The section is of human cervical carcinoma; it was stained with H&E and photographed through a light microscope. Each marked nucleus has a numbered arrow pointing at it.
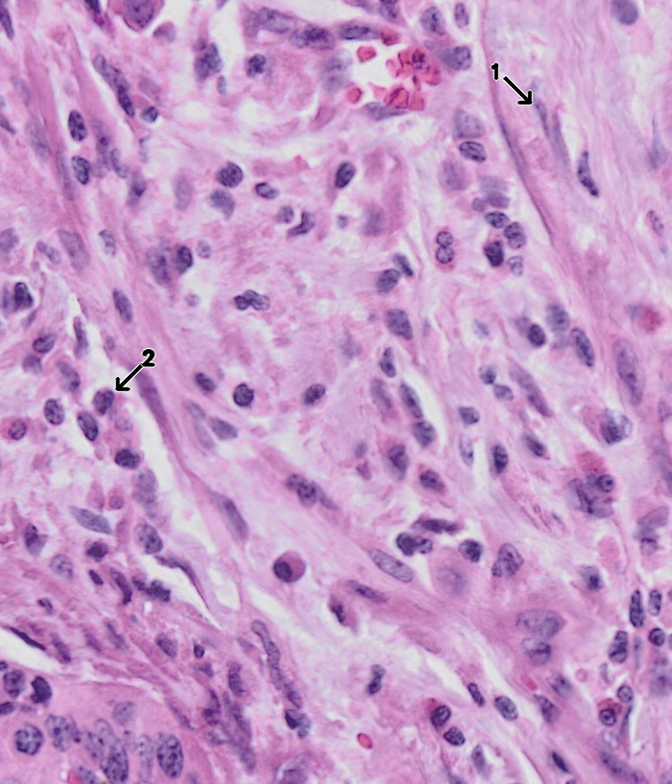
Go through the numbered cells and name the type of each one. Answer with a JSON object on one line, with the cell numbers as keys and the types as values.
{"1": "fibroblast", "2": "lymphocyte"}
